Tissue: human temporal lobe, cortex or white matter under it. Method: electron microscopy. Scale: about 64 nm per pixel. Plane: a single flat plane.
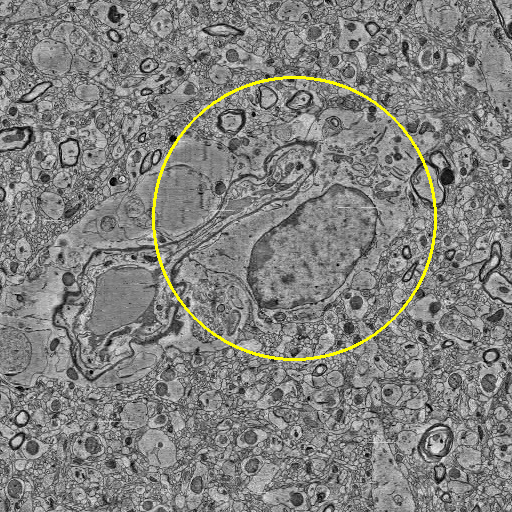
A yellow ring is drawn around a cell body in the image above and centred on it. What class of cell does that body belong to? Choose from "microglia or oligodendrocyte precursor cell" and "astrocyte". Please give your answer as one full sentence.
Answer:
The yellow ring above is centred on the cell body of a microglial cell or oligodendrocyte precursor cell.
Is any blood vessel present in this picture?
Yes, one is visible.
